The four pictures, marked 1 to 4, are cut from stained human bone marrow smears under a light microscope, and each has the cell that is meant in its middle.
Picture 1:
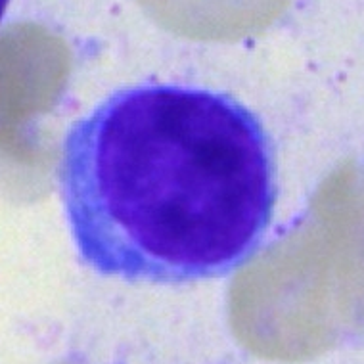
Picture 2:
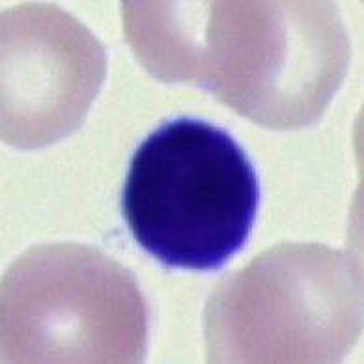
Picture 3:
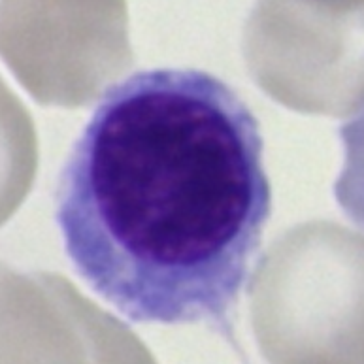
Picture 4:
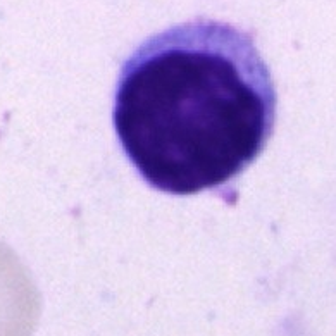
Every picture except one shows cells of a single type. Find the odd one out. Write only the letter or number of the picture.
3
